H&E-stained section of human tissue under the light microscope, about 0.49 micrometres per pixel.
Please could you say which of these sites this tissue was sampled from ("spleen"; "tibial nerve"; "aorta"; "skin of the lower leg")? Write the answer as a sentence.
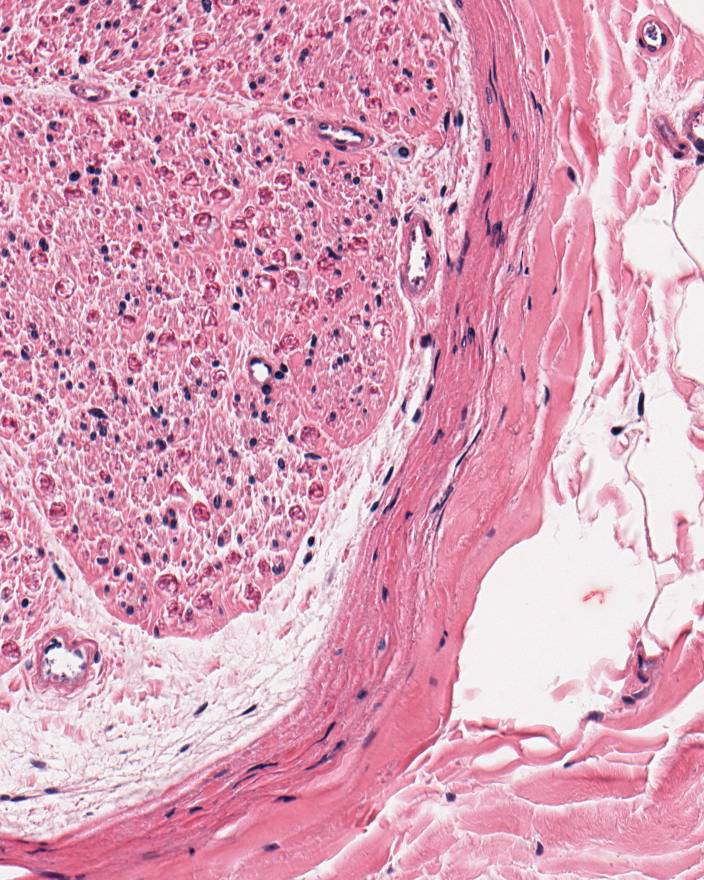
The site this tissue was sampled from is the tibial nerve.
